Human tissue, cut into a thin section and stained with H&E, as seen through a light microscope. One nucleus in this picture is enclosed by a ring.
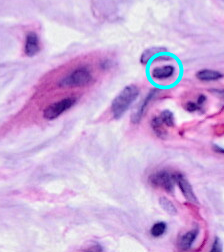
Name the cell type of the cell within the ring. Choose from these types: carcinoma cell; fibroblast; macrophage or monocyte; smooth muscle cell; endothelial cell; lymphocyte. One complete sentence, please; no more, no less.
Cytologically, the cell within the ring is to be regarded as a lymphocyte.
